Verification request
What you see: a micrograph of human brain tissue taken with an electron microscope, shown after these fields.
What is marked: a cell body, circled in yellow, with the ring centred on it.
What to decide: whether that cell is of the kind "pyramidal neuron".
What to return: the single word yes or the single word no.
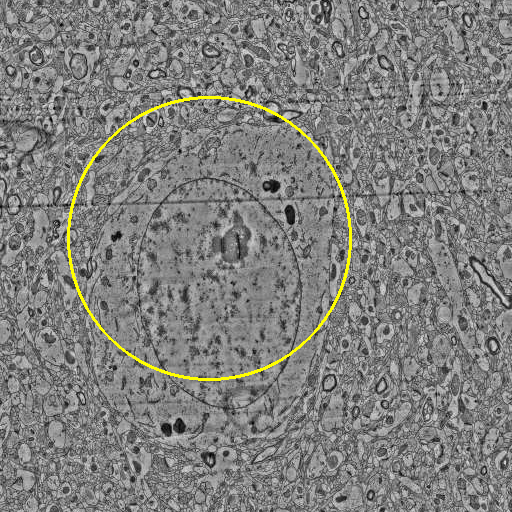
yes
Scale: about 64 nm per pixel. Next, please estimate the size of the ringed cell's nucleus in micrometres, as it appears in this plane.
The nucleus has a long axis of about 14 micrometres and a short axis of about 11 micrometres in this plane.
